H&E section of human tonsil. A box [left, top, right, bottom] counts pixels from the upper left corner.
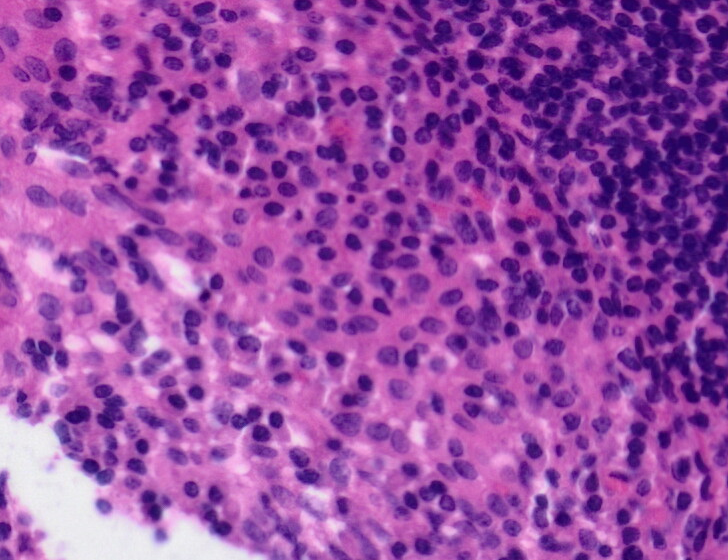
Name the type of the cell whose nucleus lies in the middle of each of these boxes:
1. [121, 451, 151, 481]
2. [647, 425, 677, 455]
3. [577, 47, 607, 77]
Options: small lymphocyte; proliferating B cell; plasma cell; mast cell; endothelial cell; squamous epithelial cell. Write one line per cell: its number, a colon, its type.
1: plasma cell
2: plasma cell
3: small lymphocyte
